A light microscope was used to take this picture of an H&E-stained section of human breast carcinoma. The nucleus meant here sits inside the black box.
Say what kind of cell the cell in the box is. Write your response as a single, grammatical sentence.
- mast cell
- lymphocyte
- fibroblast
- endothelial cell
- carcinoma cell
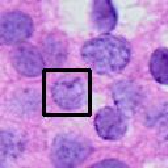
The category to which the cell in the box belongs is that of a carcinoma cell.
